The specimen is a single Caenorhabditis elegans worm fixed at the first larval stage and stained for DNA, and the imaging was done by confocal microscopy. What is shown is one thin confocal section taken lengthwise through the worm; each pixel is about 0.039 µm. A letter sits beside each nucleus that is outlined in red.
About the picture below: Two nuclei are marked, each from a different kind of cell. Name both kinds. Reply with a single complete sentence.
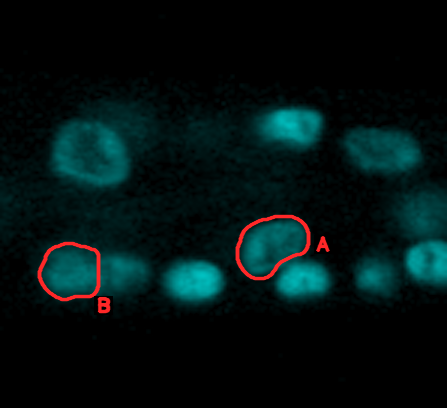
A is in an intestinal cell and B is in a body wall muscle cell.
